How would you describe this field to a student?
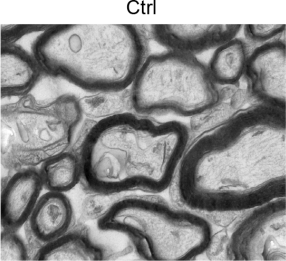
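This electron micrograph shows a cross-section through white matter, with axons cut across and wrapped in myelin. The axons vary widely in size, from small round profiles to large, irregularly outlined ones. The sheaths appear relatively thick around the larger axons. Between the myelinated profiles lie small areas of paler, lightly textured material.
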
